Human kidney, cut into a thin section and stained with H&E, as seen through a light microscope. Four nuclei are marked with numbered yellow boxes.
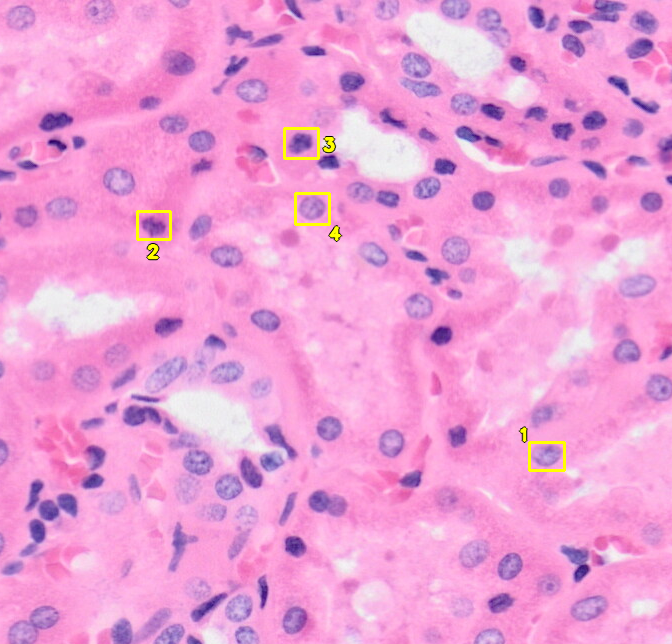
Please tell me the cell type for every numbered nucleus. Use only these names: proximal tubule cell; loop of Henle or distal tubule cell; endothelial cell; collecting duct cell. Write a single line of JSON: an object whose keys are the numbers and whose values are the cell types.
{"1": "proximal tubule cell", "2": "proximal tubule cell", "3": "loop of Henle or distal tubule cell", "4": "proximal tubule cell"}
